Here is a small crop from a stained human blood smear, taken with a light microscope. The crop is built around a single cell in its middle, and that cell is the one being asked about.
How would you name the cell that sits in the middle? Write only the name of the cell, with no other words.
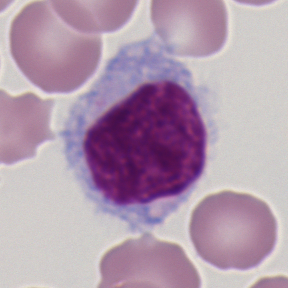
hairy cell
